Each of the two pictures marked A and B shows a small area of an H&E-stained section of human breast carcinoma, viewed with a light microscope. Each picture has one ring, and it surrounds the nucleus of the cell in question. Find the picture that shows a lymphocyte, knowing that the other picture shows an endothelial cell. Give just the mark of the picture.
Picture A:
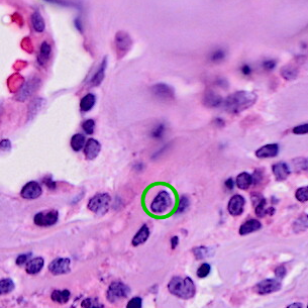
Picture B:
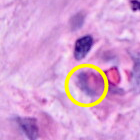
A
